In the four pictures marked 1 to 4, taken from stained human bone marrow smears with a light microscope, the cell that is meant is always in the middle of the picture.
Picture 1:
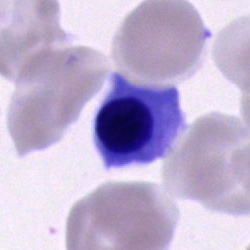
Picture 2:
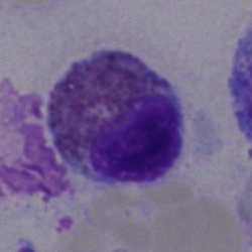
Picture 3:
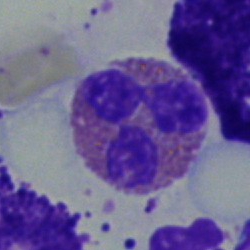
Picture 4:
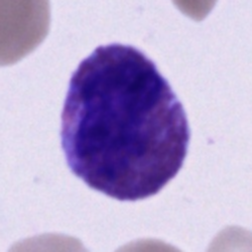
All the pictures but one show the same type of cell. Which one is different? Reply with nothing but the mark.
1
